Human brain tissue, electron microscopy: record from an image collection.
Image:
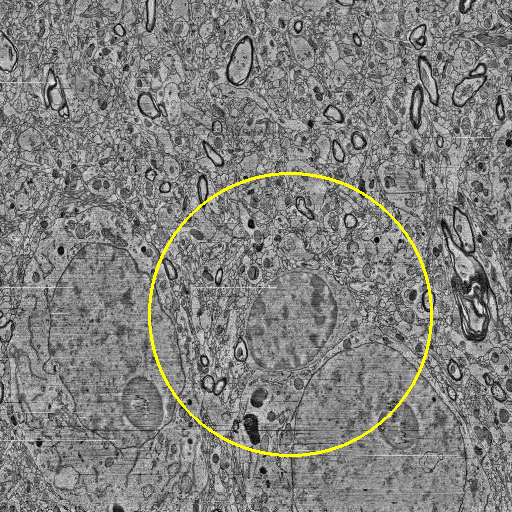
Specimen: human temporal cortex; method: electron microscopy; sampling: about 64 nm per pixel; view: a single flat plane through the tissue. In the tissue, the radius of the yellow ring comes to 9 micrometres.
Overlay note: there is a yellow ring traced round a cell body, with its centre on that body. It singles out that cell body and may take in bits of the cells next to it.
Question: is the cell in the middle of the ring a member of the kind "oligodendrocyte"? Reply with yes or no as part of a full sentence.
Yes, the image's ringed cell, the one at the ring's centre, is a member of that kind.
